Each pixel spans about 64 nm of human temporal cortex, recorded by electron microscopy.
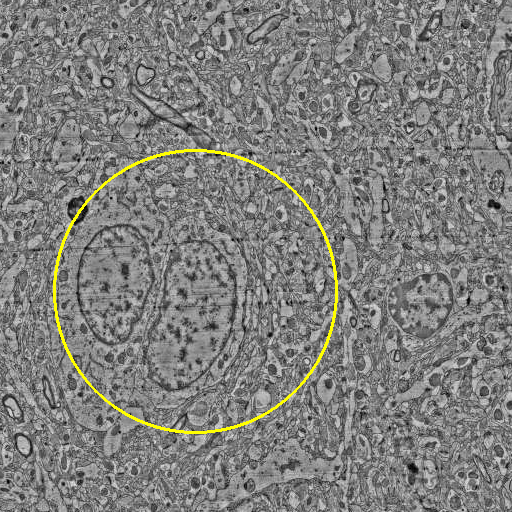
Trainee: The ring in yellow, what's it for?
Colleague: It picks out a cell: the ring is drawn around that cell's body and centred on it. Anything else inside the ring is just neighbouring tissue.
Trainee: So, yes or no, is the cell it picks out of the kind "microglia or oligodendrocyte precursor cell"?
no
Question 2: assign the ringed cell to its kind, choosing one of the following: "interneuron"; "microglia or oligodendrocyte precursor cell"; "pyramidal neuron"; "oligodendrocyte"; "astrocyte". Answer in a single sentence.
Instead, the picture shows an interneuron at the centre of the ring.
